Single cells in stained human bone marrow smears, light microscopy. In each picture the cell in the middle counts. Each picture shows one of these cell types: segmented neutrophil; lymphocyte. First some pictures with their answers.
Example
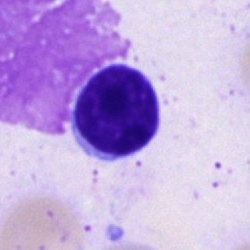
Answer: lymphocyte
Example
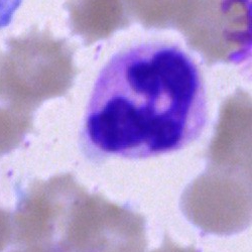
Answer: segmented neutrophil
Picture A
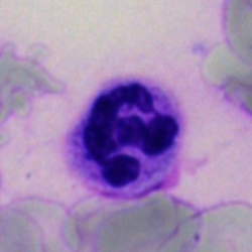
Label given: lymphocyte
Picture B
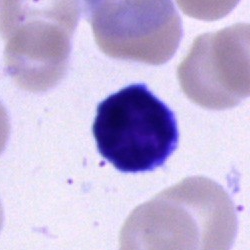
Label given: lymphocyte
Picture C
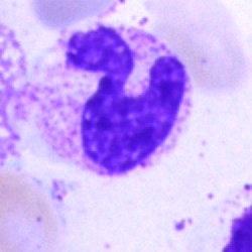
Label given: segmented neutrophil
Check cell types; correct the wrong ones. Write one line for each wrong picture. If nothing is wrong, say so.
A: segmented neutrophil, not lymphocyte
